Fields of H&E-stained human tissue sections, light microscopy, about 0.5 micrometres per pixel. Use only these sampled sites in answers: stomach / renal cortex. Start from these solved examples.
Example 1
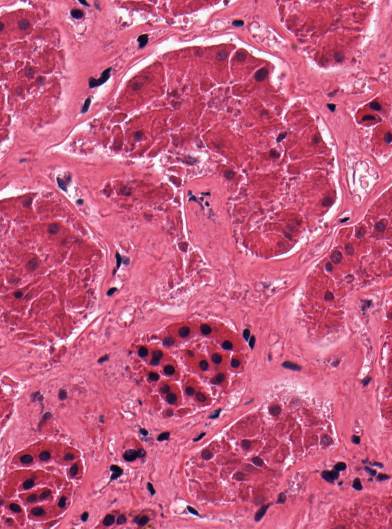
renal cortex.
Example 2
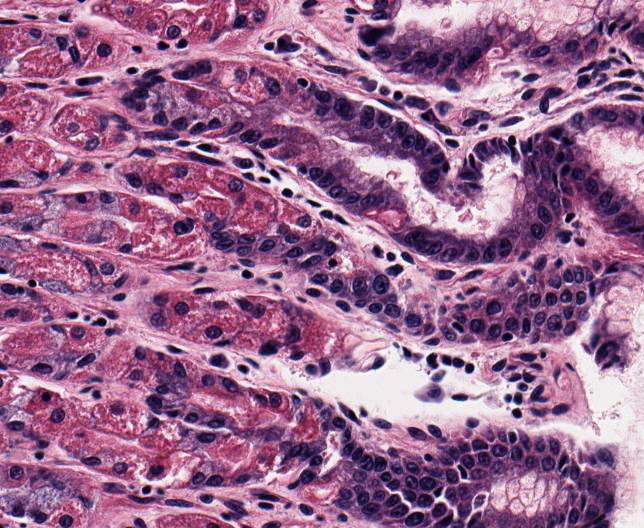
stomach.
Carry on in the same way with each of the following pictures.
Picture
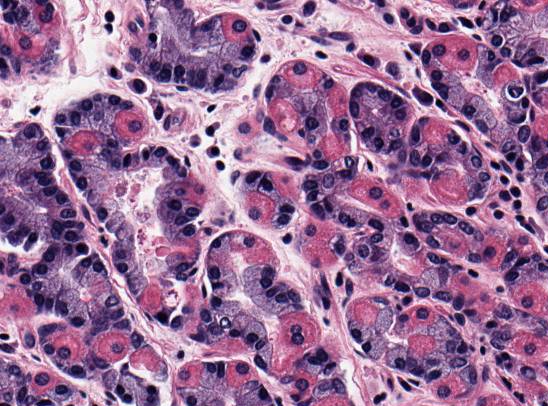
stomach.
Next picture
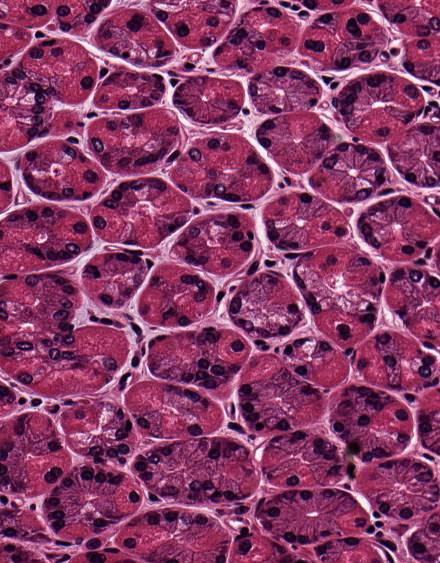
stomach.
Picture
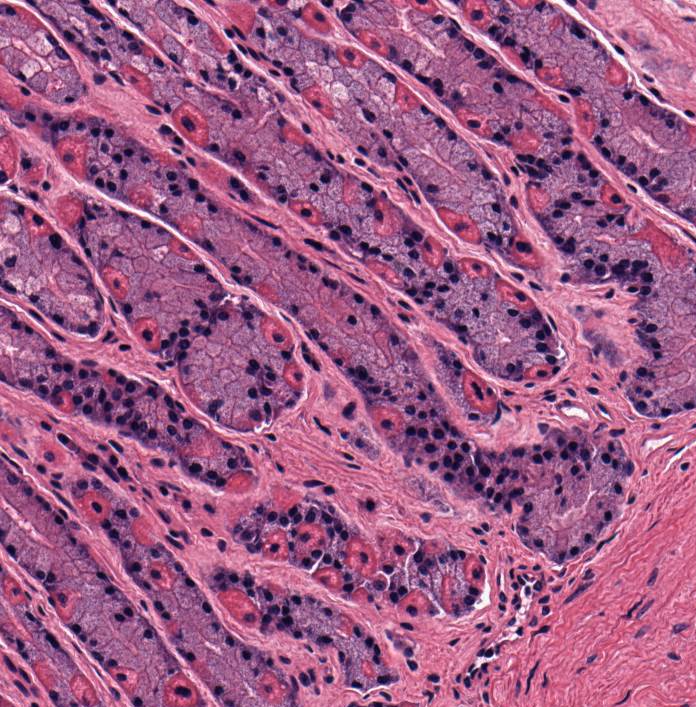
stomach.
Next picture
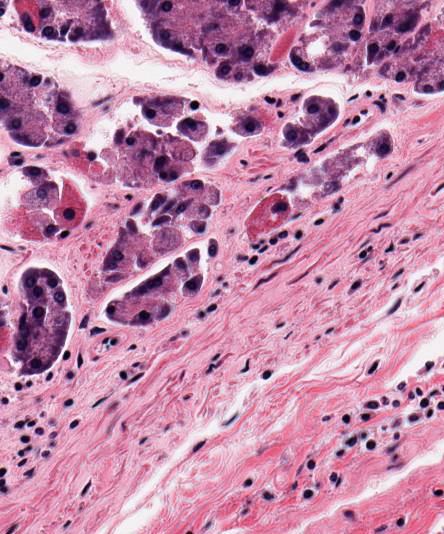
stomach.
